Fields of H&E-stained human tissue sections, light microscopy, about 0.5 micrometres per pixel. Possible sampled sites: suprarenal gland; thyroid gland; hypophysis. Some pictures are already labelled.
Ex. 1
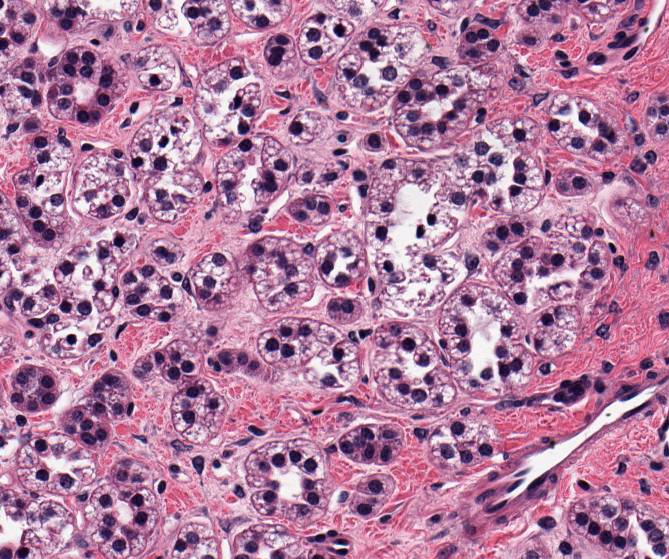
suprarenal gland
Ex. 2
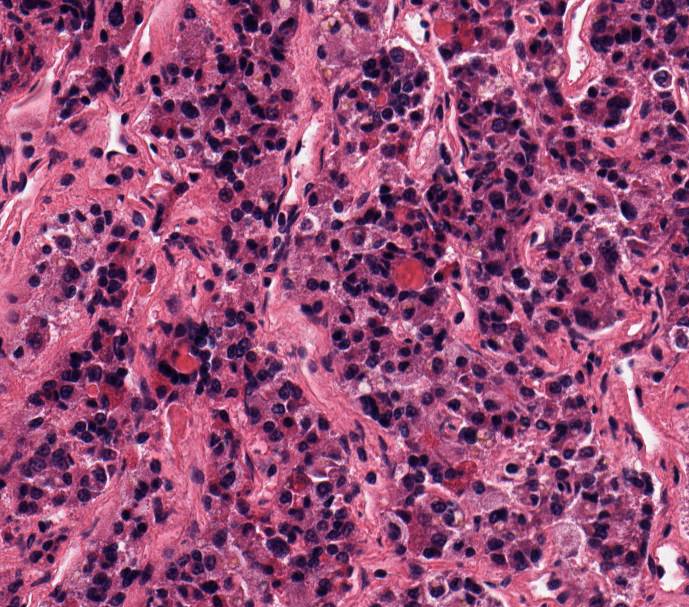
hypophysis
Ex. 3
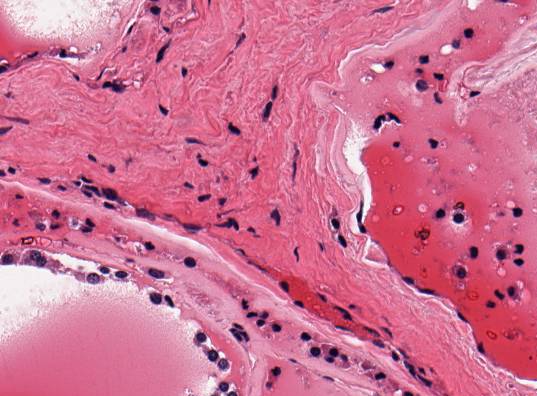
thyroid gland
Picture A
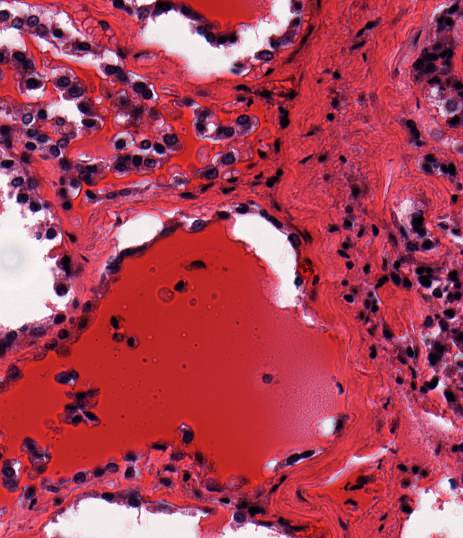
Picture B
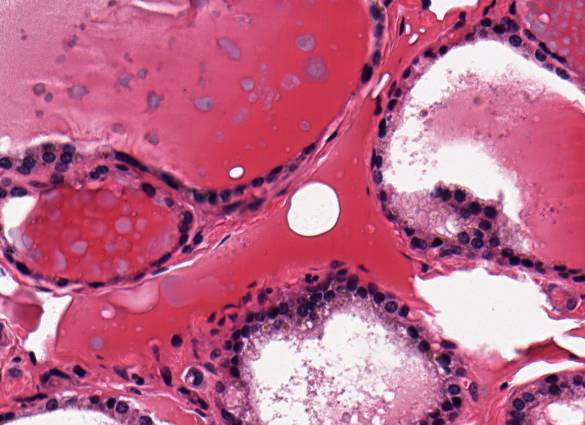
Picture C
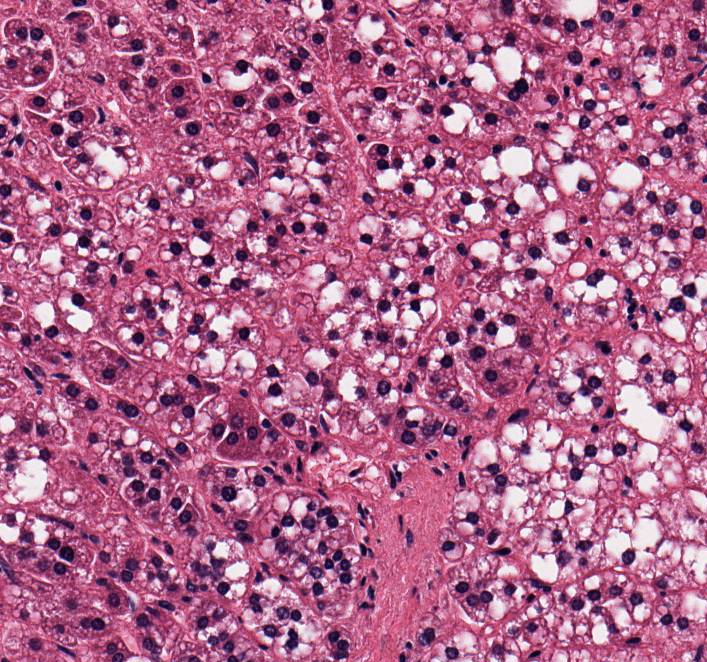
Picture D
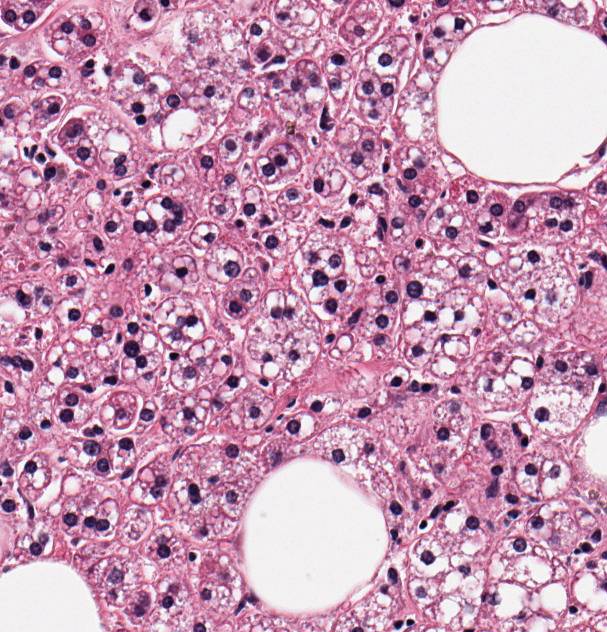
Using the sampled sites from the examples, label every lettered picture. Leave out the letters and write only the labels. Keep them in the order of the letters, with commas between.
thyroid gland, thyroid gland, suprarenal gland, suprarenal gland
